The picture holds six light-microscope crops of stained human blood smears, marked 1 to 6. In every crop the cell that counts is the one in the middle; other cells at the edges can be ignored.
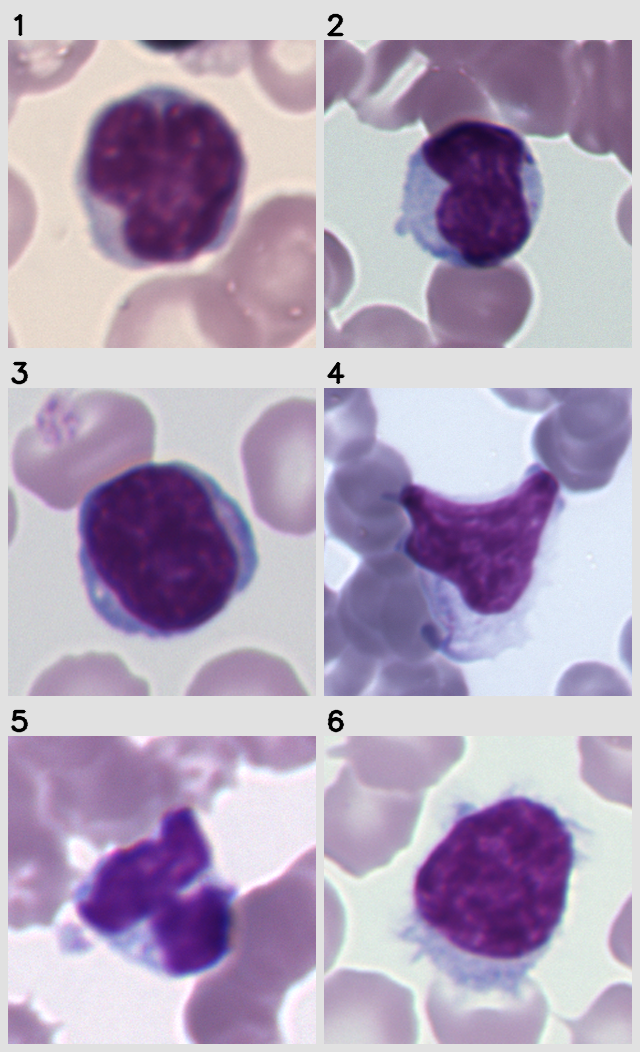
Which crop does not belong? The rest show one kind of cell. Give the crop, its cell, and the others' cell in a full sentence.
Where the others show typical lymphocytes, crop 6 shows a hairy cell.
